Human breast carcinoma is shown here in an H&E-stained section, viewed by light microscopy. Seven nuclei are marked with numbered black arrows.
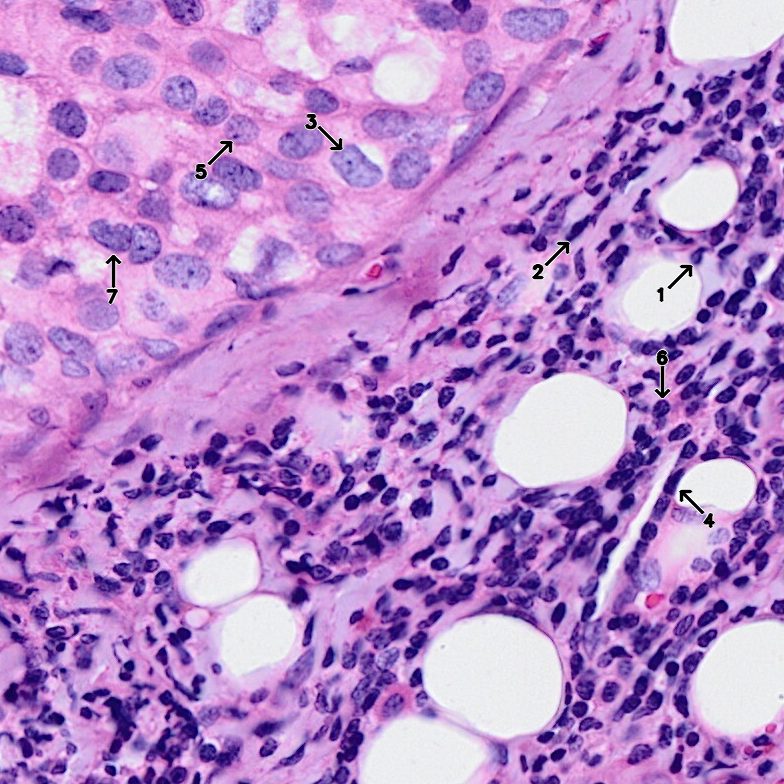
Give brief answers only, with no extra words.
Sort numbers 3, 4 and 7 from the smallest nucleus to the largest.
4, 7, 3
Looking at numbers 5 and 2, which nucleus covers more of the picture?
5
